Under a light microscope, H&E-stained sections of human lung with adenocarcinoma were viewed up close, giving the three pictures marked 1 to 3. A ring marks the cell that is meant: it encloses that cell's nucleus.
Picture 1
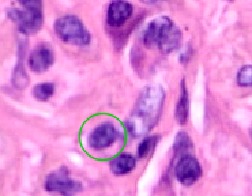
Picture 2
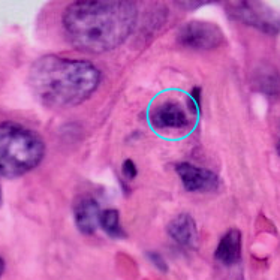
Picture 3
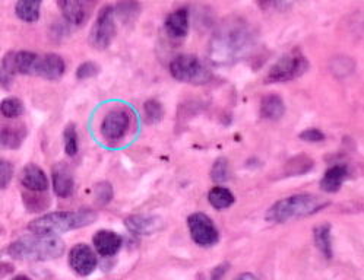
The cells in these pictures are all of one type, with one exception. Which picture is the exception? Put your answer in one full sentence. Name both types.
The others show plasma cells, but picture 1 shows a lymphocyte.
